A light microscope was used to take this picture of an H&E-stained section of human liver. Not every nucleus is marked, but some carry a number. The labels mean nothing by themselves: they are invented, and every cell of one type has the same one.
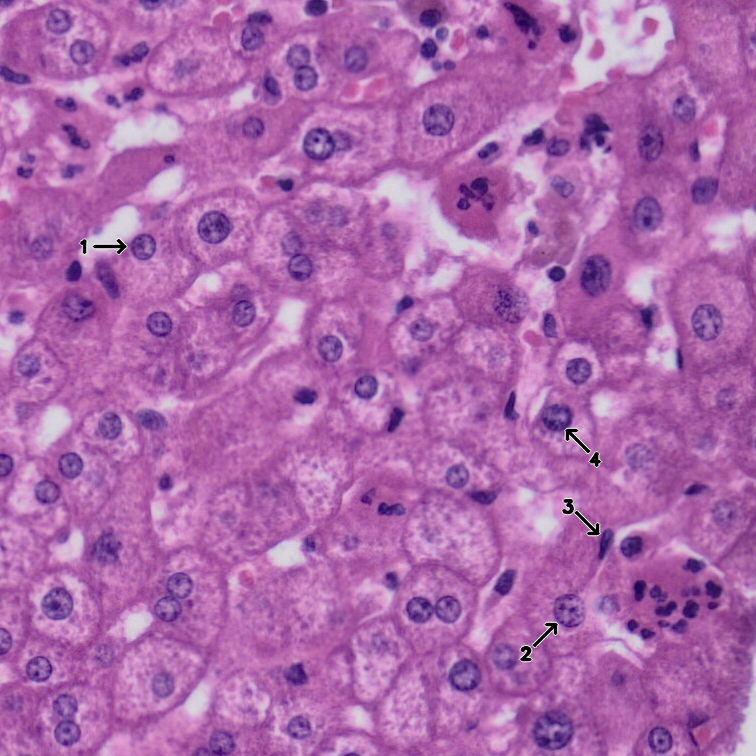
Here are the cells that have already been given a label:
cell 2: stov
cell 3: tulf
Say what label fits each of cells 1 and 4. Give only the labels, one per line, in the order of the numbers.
stov
stov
